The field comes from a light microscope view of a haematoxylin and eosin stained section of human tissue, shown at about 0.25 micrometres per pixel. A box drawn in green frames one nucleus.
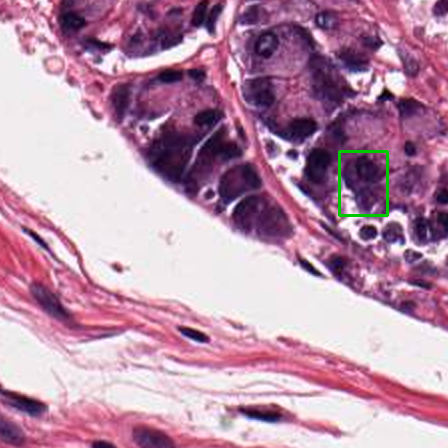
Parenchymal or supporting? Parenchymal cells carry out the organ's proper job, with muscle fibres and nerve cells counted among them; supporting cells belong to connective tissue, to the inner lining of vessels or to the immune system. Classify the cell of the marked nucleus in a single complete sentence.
The marked nucleus is identified as that of a parenchymal cell, namely a pancreatic acinar cell.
